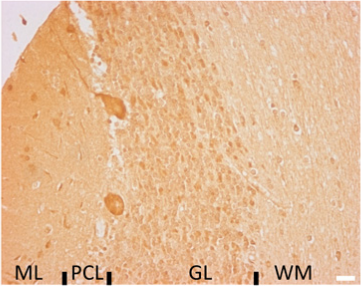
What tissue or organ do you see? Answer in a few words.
cerebellum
